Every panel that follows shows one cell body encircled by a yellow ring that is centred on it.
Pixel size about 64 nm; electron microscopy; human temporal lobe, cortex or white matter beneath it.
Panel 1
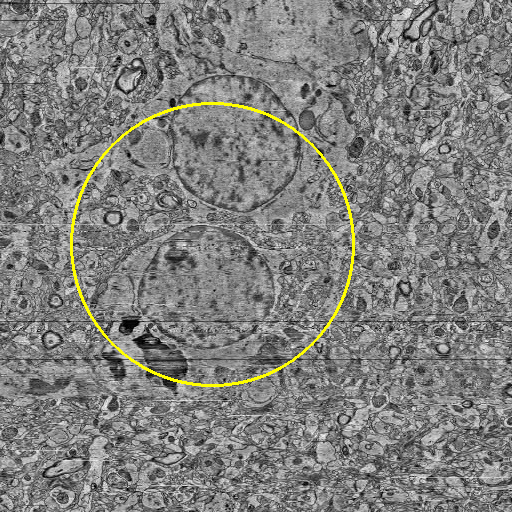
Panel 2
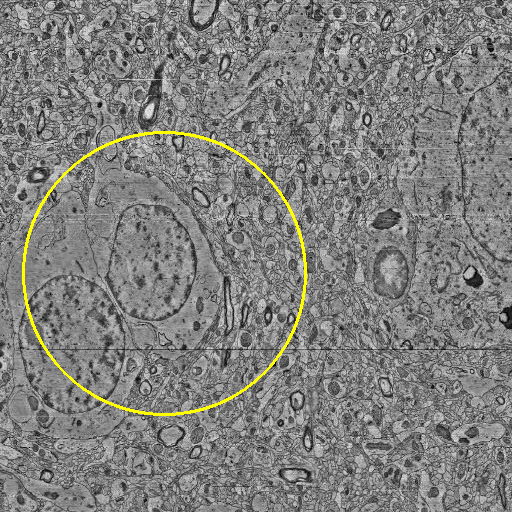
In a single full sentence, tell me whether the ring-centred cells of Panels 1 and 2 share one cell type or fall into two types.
In Panel 1 and Panel 2, the cells at the ring centres share one cell type.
